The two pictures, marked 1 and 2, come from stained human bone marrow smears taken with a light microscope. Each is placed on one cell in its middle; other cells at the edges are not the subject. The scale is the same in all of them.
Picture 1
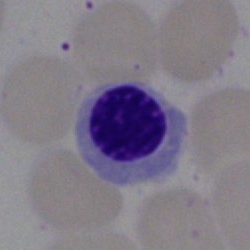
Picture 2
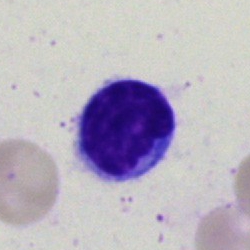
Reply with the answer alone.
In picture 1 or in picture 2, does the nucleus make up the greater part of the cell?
2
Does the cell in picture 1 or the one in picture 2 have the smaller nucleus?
1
